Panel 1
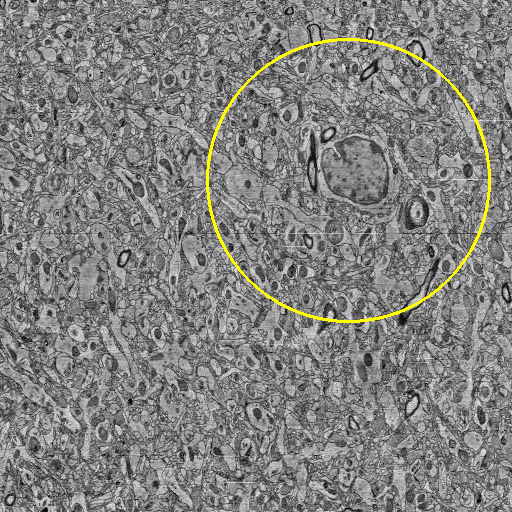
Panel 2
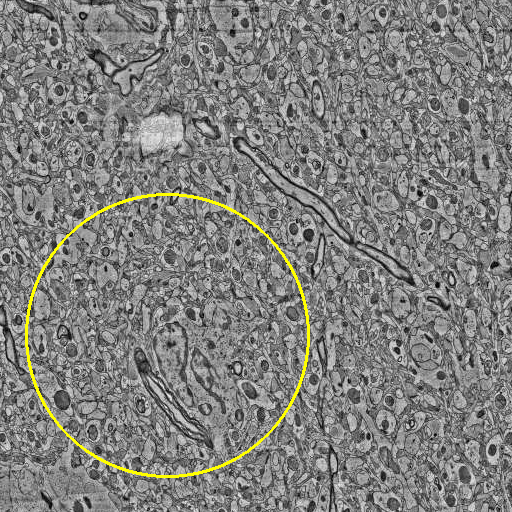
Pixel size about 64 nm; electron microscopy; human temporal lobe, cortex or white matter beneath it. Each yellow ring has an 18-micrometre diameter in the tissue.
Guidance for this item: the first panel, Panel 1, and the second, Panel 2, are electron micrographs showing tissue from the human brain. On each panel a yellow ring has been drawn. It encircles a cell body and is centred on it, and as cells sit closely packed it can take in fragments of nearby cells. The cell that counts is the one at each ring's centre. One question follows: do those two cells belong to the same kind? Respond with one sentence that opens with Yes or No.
Yes, the cells at the ring centres in Panel 1 and Panel 2 are of one kind.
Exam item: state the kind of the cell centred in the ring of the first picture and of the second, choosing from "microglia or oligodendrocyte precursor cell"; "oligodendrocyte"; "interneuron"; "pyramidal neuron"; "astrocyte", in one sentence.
The second cell is a microglial cell or oligodendrocyte precursor cell, just as the first is.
